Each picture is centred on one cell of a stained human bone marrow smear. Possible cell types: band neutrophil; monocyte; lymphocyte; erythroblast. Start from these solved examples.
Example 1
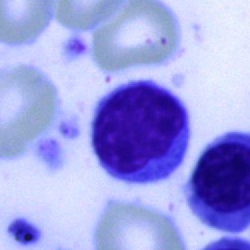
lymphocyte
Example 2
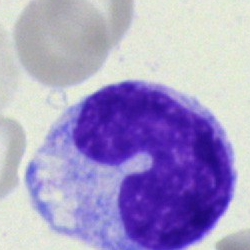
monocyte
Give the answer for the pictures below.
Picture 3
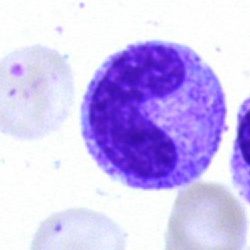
band neutrophil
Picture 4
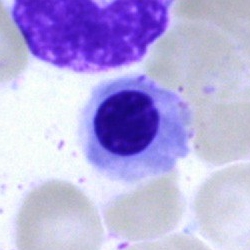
erythroblast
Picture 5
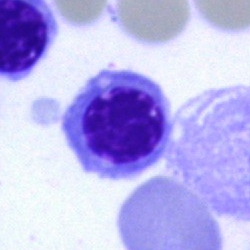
erythroblast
